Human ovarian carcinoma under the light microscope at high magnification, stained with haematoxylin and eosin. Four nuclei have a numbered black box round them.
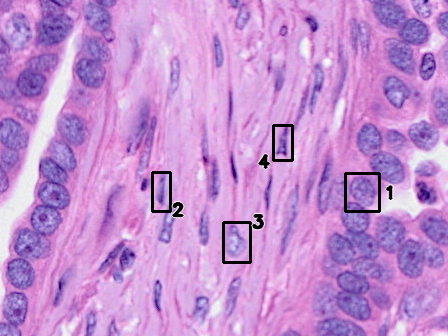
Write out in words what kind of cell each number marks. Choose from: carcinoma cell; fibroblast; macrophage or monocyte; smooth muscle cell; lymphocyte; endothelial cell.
Cell 1 is a carcinoma cell. Cells 2, 3 and 4 are fibroblasts.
